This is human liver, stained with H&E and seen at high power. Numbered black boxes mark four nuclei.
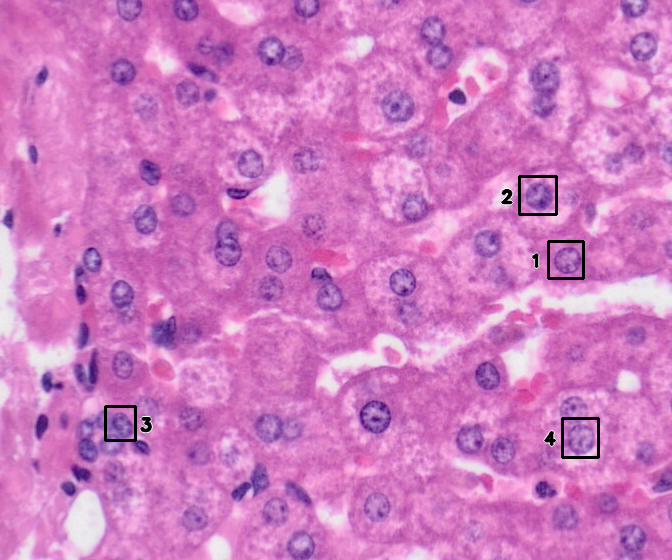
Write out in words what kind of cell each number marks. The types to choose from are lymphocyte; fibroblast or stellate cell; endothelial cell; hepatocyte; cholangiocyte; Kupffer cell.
Cell 1 is a hepatocyte, cell 2 is a hepatocyte, cell 3 is a cholangiocyte and cell 4 is a hepatocyte.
